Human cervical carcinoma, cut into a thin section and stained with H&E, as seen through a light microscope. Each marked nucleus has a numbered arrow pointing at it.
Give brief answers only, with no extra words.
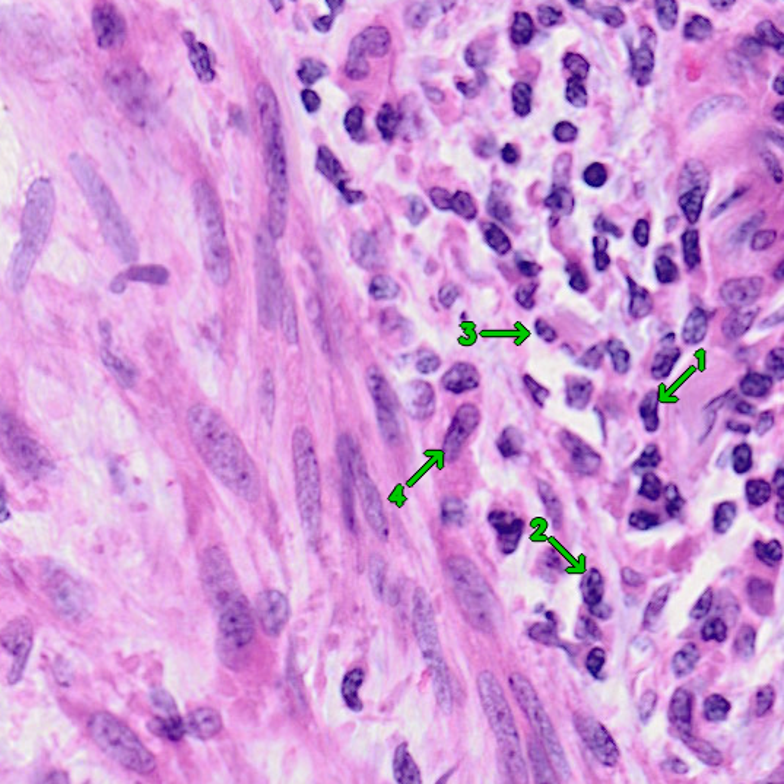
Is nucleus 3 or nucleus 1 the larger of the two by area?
1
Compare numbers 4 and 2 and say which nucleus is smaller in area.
2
